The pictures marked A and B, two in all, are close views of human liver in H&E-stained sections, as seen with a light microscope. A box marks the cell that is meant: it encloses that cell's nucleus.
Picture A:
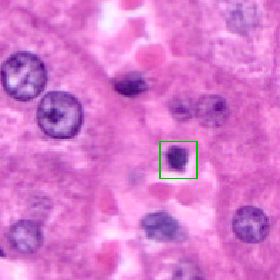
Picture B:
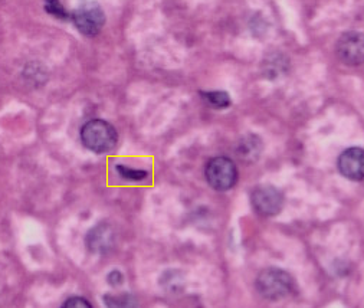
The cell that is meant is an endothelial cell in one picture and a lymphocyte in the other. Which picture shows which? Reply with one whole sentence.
Picture A is of a lymphocyte, and picture B is of an endothelial cell.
